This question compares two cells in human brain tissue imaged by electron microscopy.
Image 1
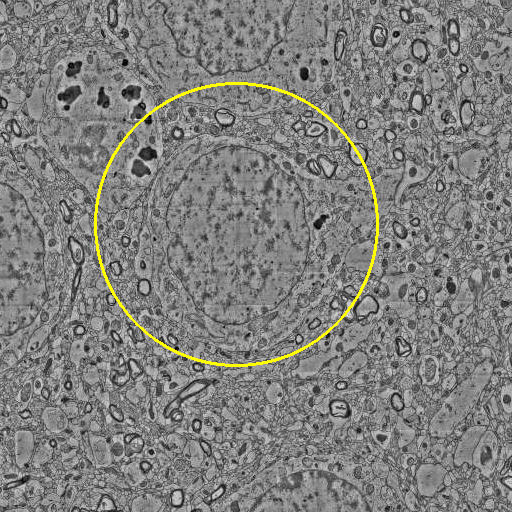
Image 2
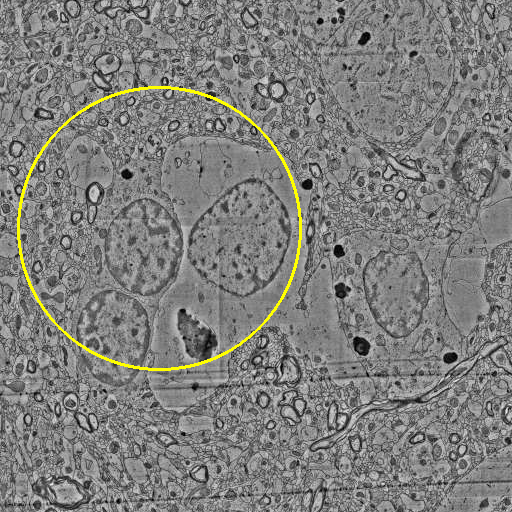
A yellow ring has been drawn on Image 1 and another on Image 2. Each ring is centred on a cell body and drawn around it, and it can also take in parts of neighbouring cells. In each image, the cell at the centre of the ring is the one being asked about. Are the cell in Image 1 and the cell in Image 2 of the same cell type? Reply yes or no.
no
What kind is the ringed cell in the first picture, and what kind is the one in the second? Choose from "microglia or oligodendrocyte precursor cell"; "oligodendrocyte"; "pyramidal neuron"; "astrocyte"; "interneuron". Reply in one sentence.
The first cell is a pyramidal neuron; the second is an oligodendrocyte.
